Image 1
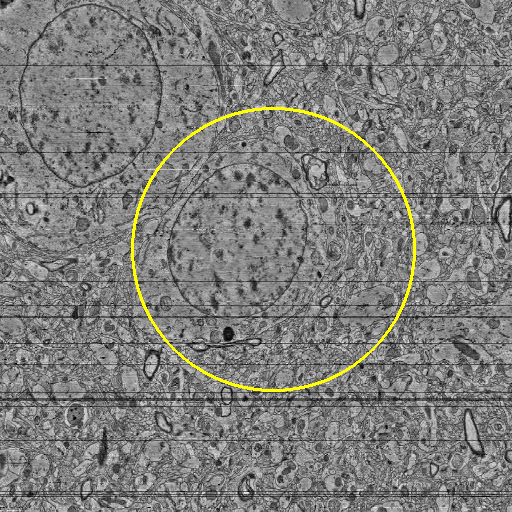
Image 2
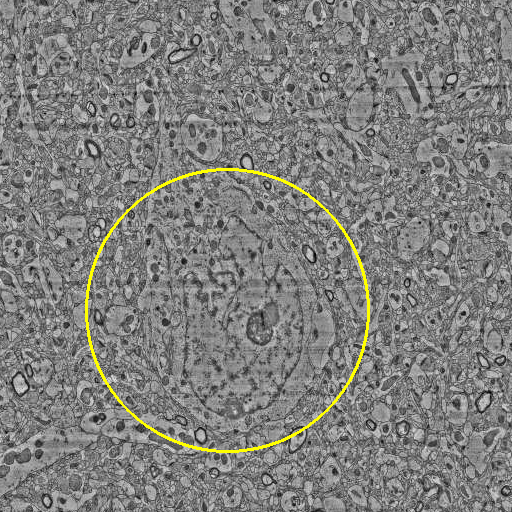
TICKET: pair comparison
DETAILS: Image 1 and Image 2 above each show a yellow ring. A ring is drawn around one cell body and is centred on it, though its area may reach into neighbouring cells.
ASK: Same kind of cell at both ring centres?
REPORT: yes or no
no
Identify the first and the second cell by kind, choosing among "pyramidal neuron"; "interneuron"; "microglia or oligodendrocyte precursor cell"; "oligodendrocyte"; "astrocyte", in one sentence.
The one in the first picture is a pyramidal neuron, while the one in the second is an interneuron.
